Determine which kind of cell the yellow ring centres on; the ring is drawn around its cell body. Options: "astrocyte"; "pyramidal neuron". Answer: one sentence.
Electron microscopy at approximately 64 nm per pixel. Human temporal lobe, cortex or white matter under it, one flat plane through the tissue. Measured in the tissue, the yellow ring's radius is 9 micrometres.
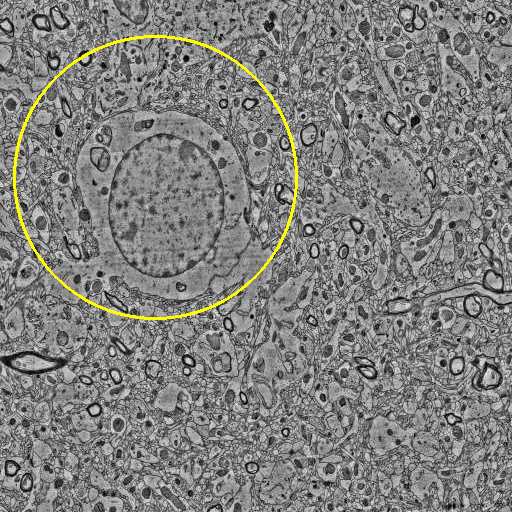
The ring centres on an astrocyte.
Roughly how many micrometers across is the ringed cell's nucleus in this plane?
In this plane, roughly 9 by 7 micrometres.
